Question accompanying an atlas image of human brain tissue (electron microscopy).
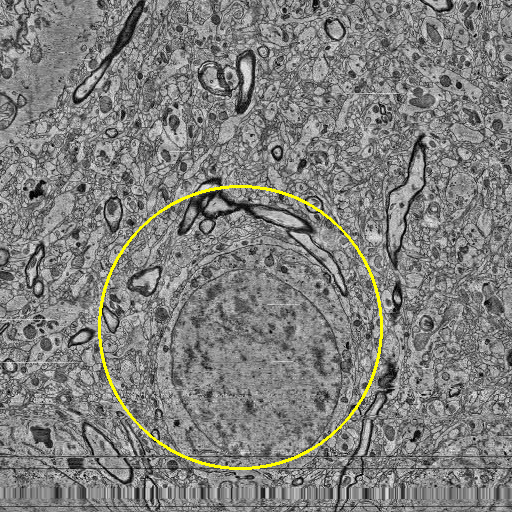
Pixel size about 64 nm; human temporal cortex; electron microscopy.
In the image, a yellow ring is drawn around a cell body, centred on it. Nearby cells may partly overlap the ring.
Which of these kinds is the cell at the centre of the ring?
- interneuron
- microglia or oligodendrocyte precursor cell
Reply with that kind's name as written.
interneuron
